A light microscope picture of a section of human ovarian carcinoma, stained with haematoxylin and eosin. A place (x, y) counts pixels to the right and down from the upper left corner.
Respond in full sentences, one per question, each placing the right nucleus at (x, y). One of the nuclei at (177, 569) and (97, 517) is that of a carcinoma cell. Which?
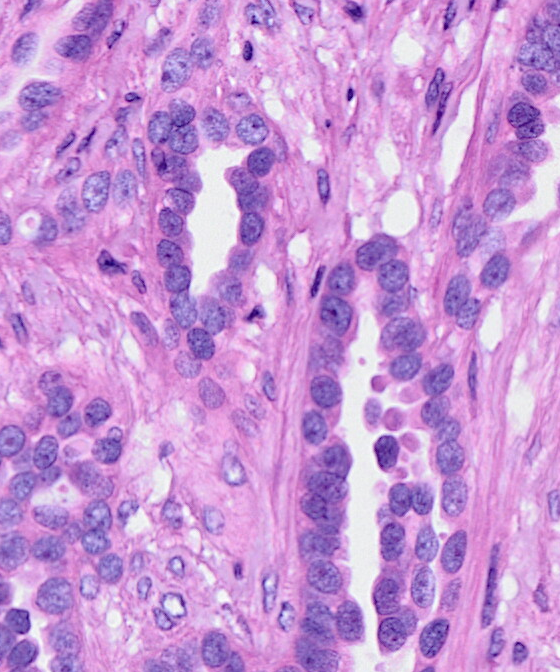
The one belonging to a carcinoma cell is the nucleus at (97, 517), not the other.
